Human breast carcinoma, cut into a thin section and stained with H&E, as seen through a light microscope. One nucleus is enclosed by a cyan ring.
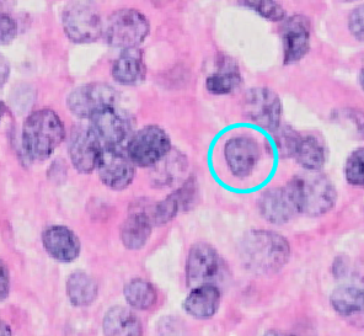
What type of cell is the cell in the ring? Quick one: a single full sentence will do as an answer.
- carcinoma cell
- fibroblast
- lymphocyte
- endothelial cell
Histopathologically, the cell in the ring is a carcinoma cell.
